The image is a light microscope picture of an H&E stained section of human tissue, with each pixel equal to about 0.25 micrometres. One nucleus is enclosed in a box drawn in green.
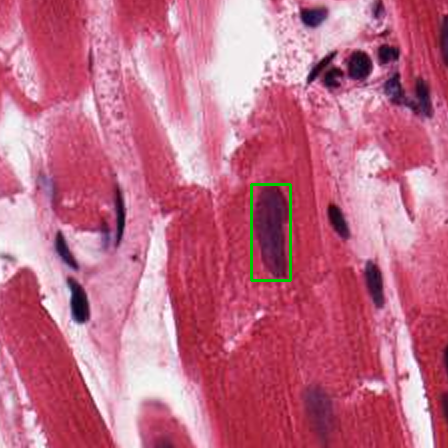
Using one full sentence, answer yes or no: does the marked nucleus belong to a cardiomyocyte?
Yes, the nucleus singled out in the image belongs to a cardiomyocyte.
